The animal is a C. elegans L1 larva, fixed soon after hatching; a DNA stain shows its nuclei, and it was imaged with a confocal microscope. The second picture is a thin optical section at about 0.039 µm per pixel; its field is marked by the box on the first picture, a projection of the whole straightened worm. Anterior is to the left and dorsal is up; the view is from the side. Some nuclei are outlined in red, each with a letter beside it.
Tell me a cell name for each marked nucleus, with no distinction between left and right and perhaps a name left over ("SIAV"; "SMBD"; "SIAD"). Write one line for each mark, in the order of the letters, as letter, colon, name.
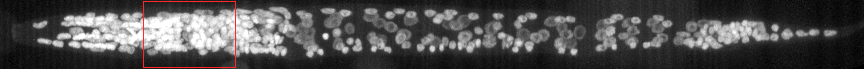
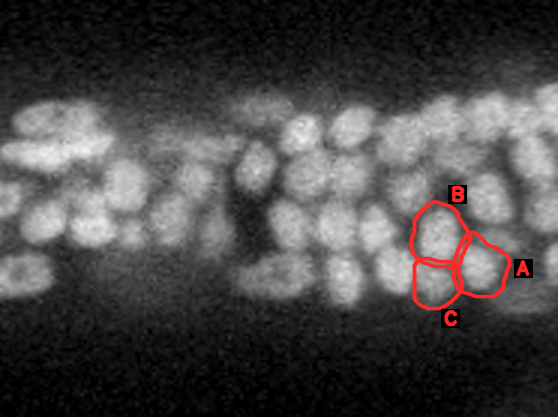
A: SIAV
B: SIAD
C: SMBD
